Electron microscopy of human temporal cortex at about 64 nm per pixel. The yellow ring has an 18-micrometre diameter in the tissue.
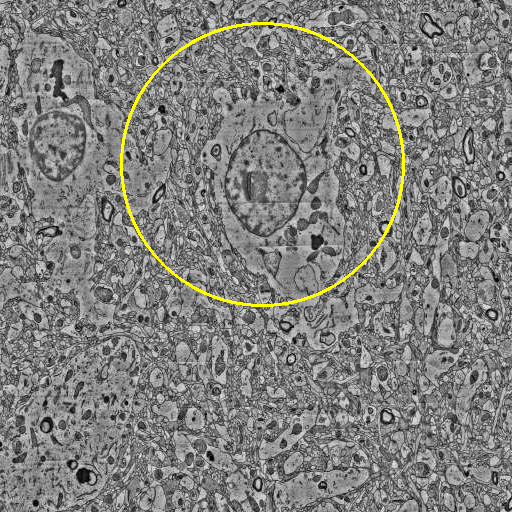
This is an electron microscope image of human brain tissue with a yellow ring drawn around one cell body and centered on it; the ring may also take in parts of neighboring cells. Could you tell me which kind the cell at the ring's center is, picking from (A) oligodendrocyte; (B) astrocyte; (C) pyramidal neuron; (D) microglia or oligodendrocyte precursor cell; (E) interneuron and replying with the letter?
B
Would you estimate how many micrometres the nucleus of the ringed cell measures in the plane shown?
The nucleus appears roughly 7 by 5 micrometres in this plane.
